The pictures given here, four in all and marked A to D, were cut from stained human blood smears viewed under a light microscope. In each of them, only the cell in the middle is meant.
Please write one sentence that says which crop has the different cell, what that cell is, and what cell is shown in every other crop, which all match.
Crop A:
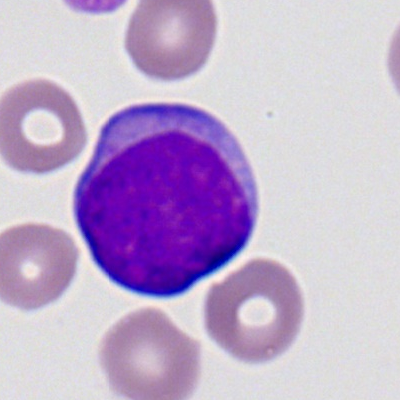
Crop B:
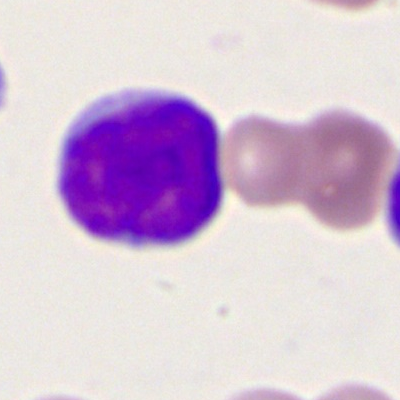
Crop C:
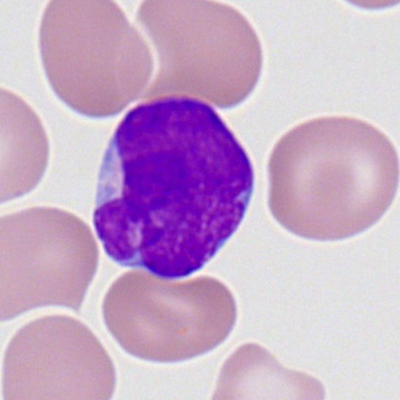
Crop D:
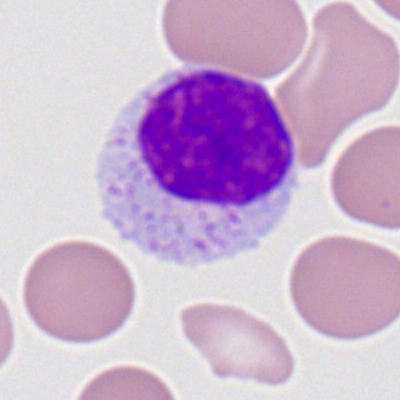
Of these crops, only crop D is a lymphocyte; the others are blasts.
